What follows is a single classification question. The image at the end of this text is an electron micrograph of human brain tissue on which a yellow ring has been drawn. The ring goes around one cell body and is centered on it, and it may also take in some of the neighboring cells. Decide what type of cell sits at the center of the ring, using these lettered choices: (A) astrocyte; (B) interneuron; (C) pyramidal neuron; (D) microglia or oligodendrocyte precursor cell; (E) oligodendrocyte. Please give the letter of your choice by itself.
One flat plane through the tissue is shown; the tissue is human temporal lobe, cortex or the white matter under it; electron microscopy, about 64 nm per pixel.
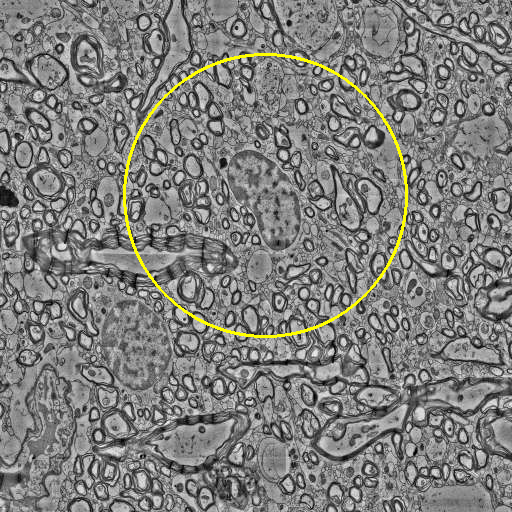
D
